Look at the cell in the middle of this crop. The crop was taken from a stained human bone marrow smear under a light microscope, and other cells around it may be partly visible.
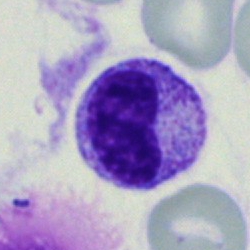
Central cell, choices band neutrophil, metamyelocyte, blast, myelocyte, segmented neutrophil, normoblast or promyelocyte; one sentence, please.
Within this crop, a metamyelocyte occupies the central position.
